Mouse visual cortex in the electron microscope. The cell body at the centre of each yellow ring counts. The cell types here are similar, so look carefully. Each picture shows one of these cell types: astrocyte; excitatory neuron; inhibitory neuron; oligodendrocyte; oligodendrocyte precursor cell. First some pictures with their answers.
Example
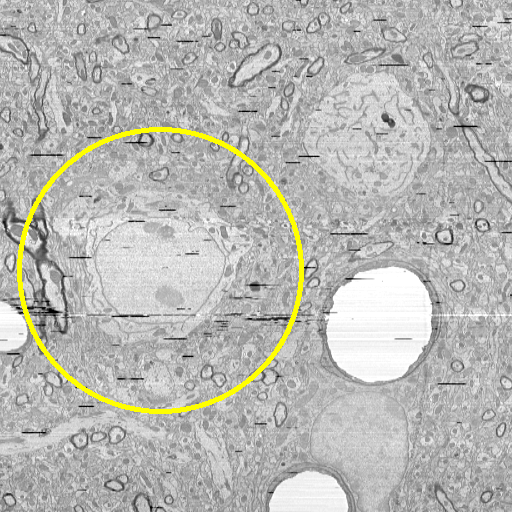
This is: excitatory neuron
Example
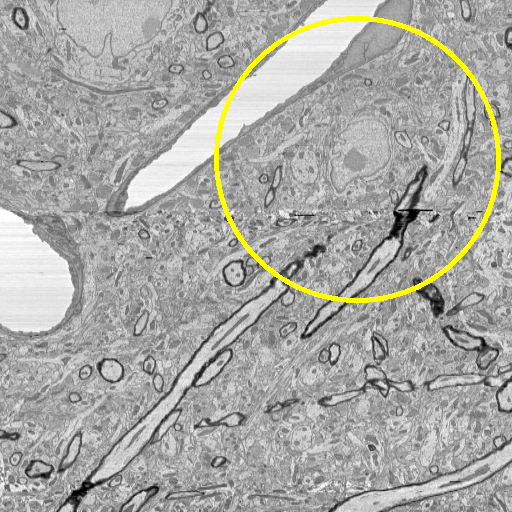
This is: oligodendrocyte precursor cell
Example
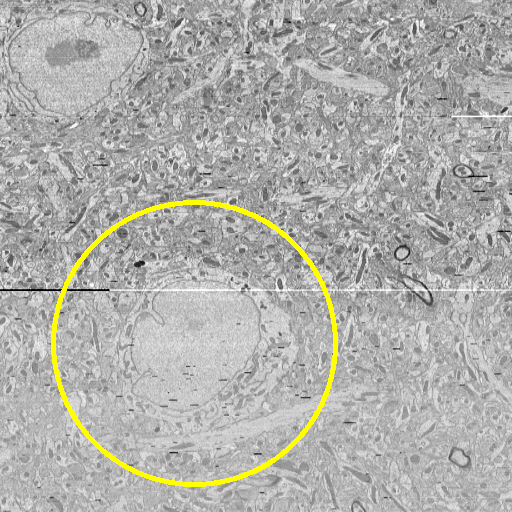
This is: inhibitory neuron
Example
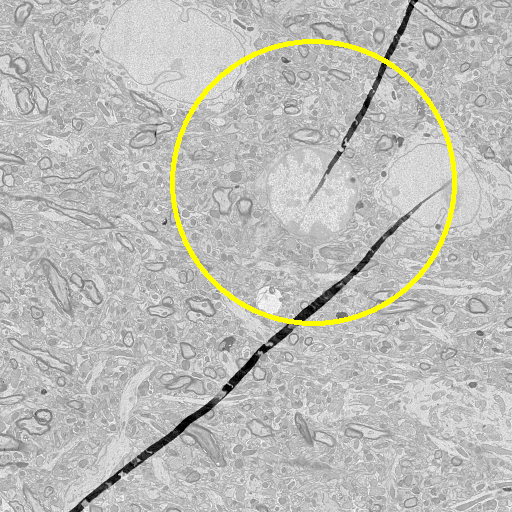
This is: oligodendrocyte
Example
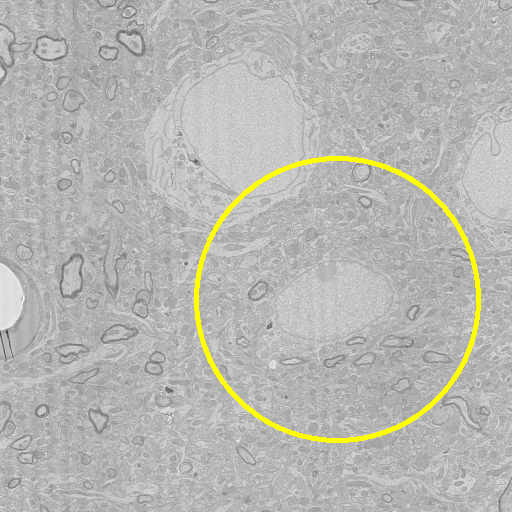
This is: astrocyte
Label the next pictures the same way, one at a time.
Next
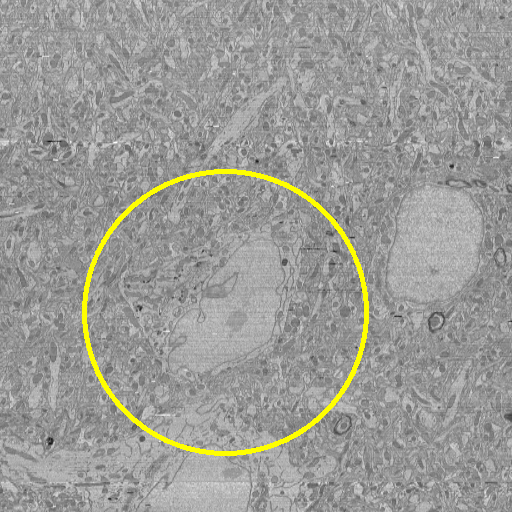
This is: inhibitory neuron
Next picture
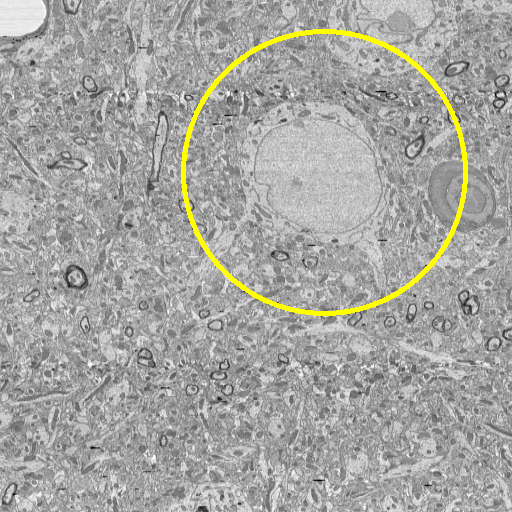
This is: excitatory neuron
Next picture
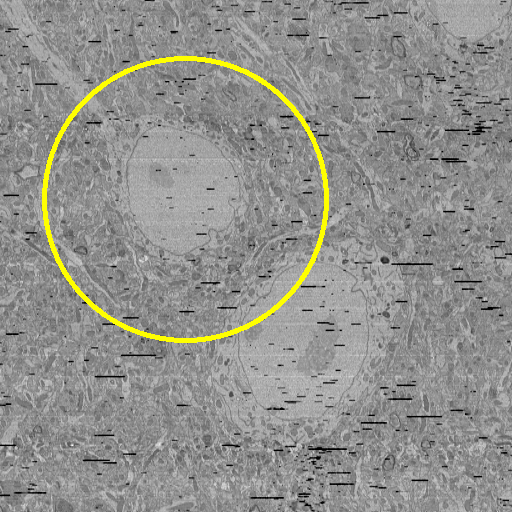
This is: excitatory neuron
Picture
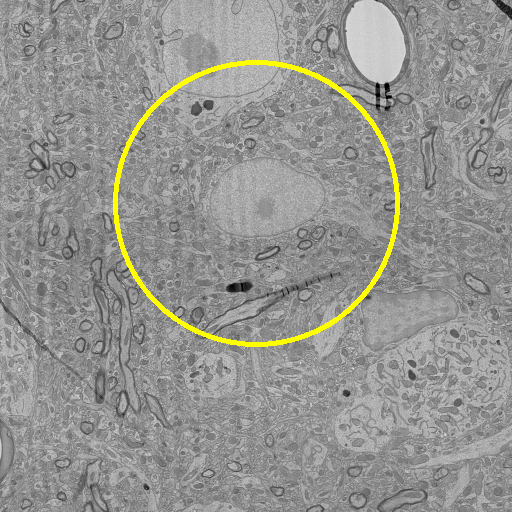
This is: astrocyte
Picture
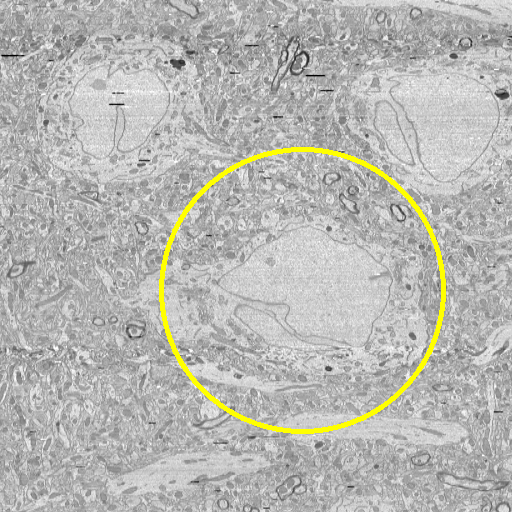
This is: excitatory neuron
